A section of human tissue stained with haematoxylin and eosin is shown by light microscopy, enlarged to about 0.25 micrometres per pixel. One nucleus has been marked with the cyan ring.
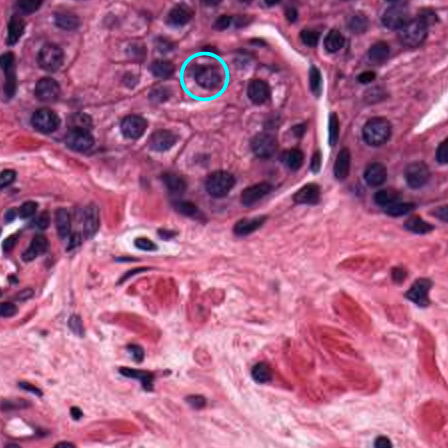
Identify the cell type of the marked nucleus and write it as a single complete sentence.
As shown here, the nucleus that is marked is that of a prostate gland luminal cell.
